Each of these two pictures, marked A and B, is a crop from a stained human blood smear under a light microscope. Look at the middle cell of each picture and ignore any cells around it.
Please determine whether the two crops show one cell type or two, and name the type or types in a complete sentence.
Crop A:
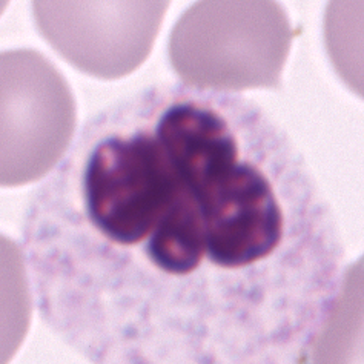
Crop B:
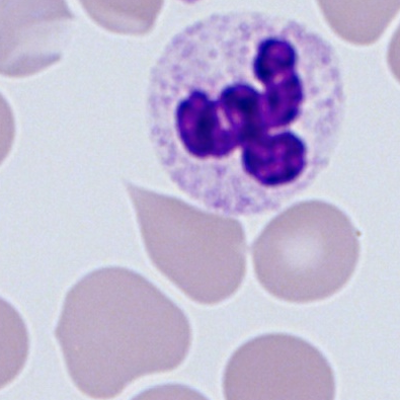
Yes, the middle cells in the two crops are segmented neutrophils.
